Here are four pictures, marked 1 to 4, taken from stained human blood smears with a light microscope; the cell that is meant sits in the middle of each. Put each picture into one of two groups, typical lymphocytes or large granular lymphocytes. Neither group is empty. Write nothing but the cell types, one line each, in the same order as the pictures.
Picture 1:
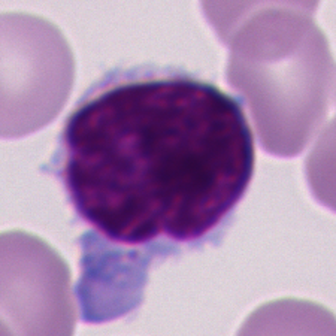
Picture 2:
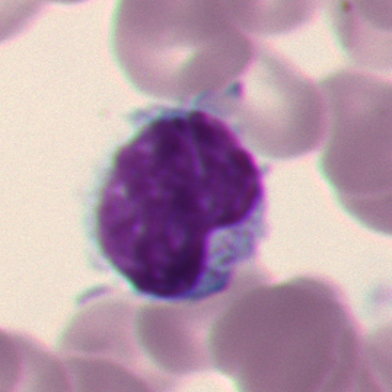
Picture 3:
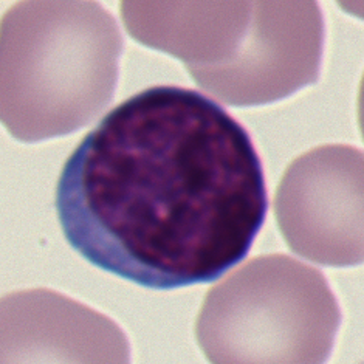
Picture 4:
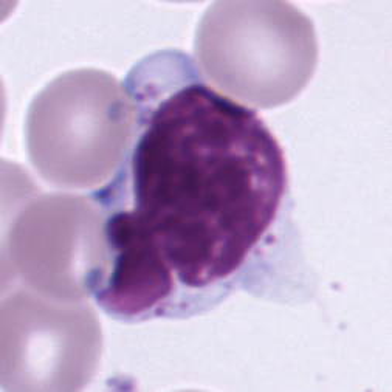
typical lymphocyte
typical lymphocyte
typical lymphocyte
large granular lymphocyte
